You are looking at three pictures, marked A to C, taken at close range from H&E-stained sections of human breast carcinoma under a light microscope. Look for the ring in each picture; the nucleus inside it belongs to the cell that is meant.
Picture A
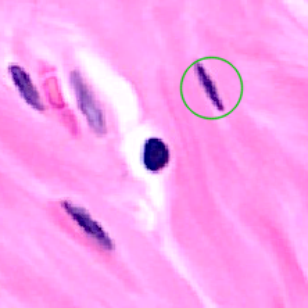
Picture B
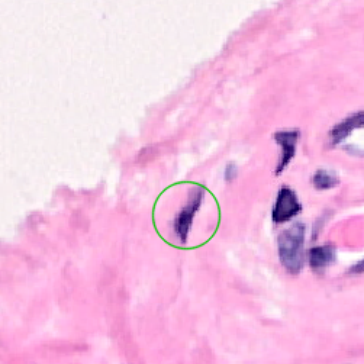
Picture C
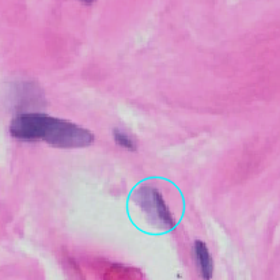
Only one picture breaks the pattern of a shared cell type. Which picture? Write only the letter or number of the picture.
C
